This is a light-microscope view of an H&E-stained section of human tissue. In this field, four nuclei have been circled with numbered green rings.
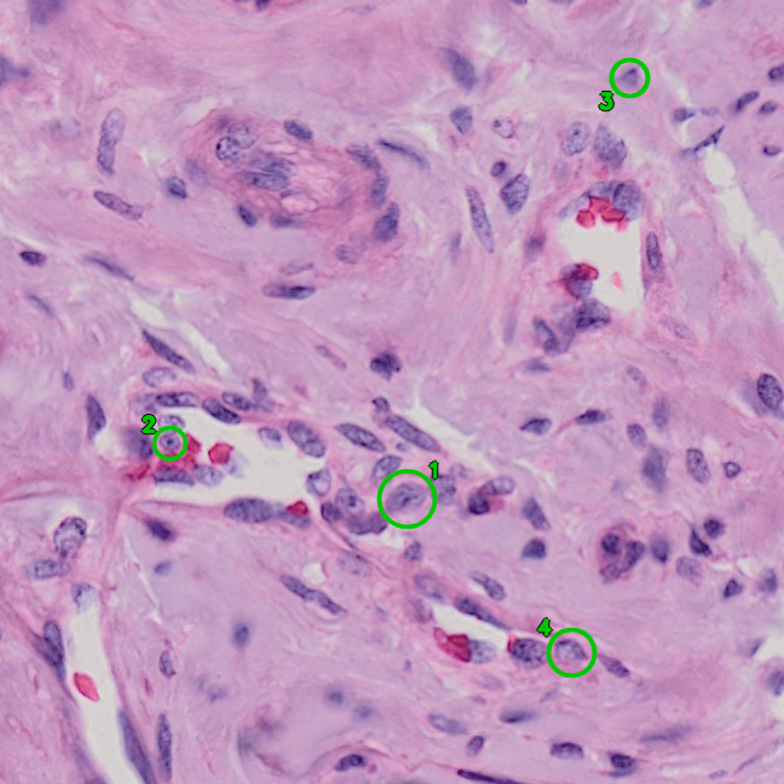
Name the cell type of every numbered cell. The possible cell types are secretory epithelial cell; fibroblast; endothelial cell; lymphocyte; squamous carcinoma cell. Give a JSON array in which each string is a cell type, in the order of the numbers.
["endothelial cell", "endothelial cell", "fibroblast", "endothelial cell"]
